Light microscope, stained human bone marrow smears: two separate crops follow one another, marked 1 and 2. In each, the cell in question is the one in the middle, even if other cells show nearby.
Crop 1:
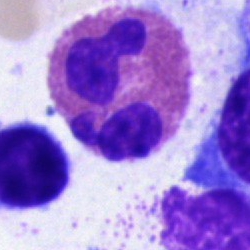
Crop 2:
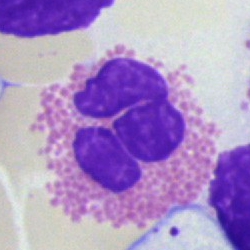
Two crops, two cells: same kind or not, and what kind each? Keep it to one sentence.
Yes, eosinophils are depicted in both crops.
